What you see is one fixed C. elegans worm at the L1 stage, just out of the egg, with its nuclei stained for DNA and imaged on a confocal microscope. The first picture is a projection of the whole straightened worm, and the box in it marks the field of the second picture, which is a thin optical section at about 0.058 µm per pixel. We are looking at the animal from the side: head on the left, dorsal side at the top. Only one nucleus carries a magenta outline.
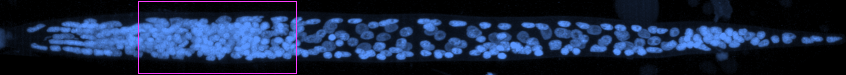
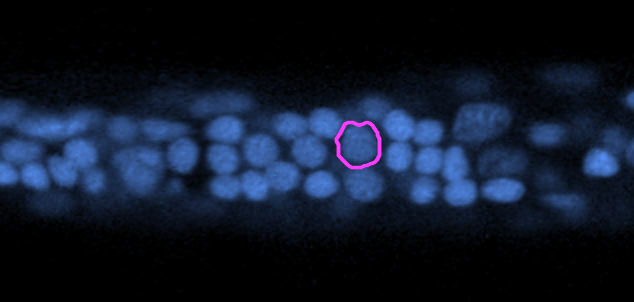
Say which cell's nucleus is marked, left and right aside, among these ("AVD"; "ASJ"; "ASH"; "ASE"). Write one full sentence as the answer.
The nucleus is from ASE, a neuron.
